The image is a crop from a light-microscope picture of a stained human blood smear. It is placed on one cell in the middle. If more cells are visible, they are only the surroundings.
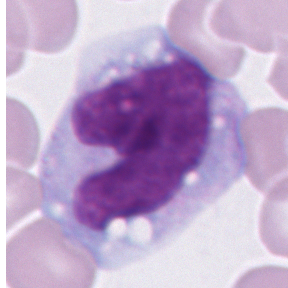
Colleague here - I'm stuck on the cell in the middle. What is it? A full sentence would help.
The cell nearest the centre of this crop is a monocyte.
